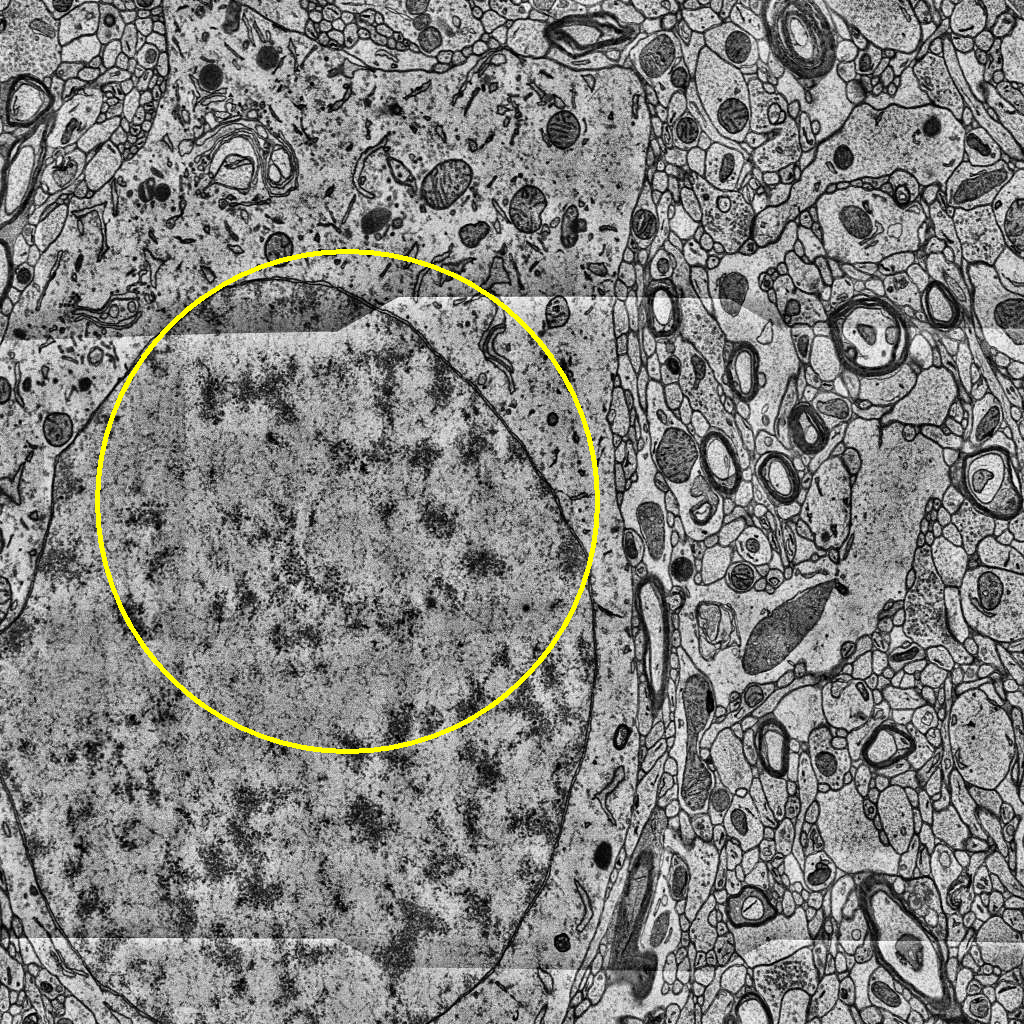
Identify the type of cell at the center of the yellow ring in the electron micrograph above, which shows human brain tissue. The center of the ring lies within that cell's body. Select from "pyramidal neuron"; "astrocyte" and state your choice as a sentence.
The center of the yellow ring lies in the body of a pyramidal neuron.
